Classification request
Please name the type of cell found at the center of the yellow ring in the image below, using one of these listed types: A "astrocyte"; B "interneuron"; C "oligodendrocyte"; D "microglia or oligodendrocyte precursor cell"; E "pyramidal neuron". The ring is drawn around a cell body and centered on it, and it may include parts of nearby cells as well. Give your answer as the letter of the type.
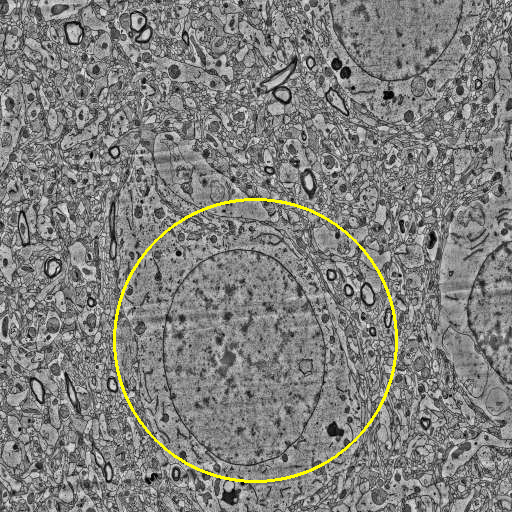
E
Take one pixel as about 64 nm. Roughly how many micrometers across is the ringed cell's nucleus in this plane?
Approximately 14 x 10 micrometres in this plane.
